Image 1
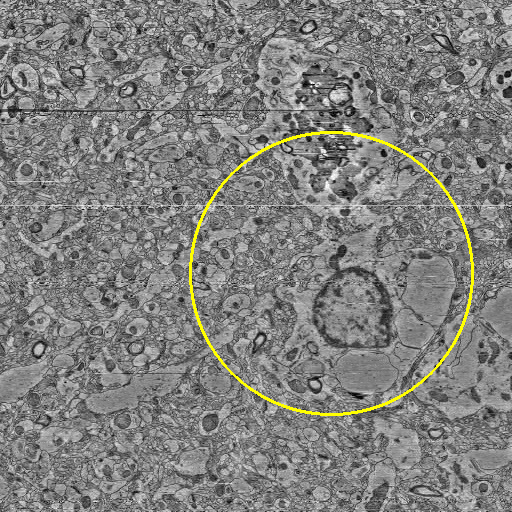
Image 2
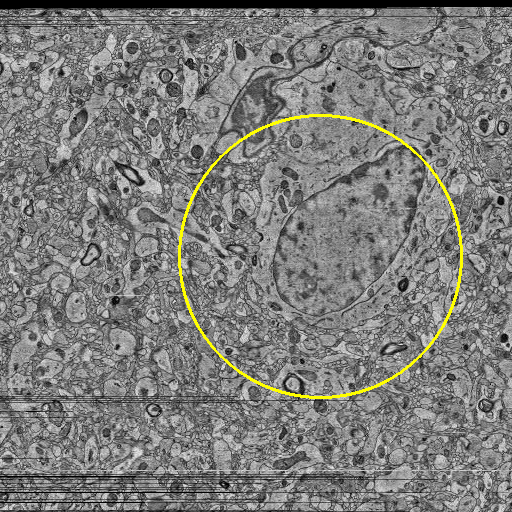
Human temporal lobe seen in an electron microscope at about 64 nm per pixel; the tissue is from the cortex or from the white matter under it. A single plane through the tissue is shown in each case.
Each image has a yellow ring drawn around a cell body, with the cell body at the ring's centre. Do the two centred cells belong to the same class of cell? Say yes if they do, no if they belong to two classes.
no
